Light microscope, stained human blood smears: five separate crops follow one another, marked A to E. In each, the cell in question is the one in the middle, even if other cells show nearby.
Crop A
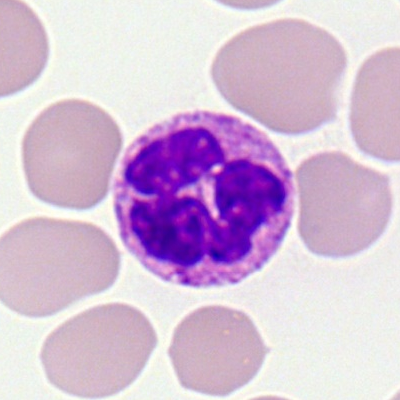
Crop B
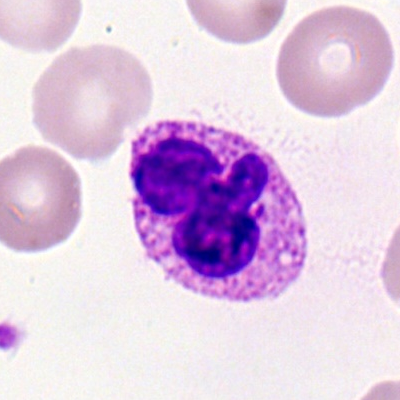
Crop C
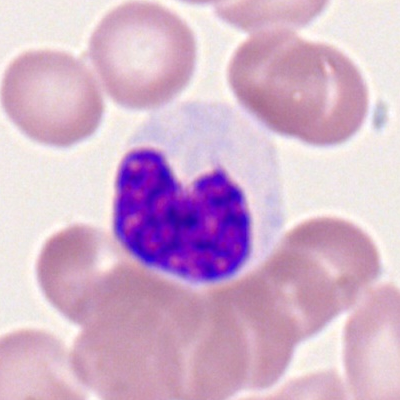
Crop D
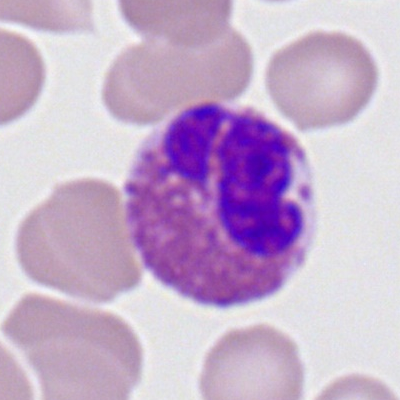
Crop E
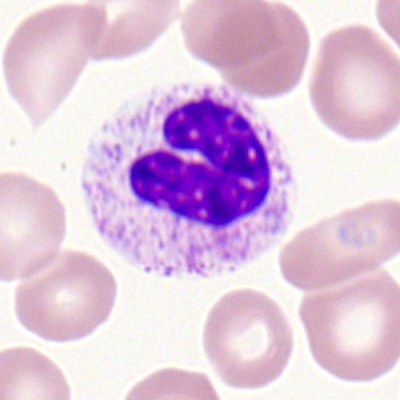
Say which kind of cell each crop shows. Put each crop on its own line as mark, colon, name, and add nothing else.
A: basophil
B: basophil
C: band neutrophil
D: eosinophil
E: band neutrophil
